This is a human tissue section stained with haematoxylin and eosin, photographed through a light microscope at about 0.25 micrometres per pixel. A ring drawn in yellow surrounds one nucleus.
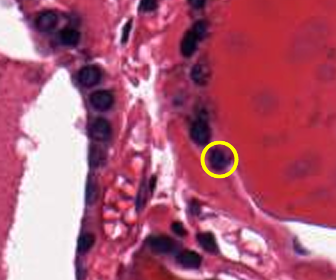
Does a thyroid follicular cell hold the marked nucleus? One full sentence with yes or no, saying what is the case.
Yes, the marked nucleus, in this picture, is that of a thyroid follicular cell.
